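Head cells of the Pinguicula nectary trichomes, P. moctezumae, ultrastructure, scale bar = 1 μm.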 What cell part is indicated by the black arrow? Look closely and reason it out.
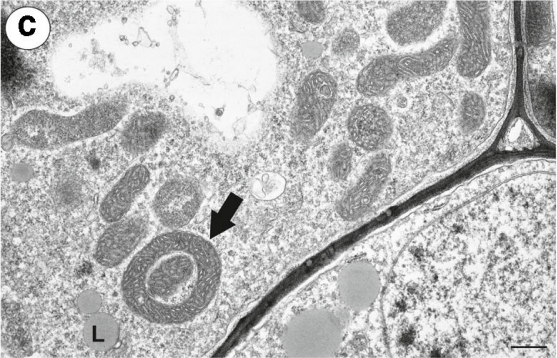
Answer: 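The arrow points to an organelle bent into a ring or cup shape. Its interior shows the folded inner membranes typical of cristae. So: mitochondria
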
